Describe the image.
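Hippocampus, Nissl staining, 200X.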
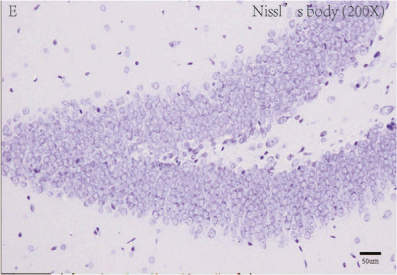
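The cell bodies are small, round to oval and lie tightly side by side, many layers deep. Between the two bands runs a narrower, paler zone with only scattered, more darkly stained cells. The surrounding neuropil is pale and contains sparse small dark nuclei.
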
